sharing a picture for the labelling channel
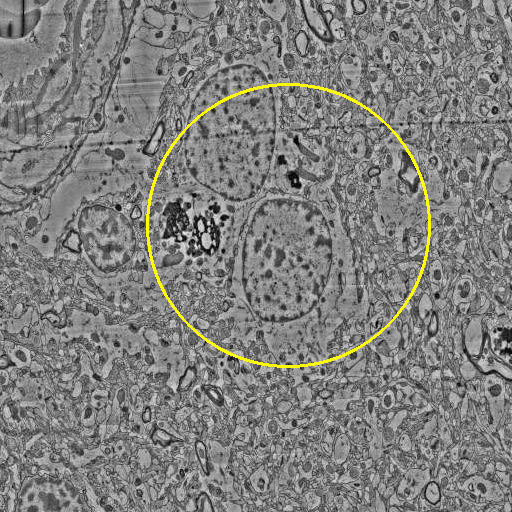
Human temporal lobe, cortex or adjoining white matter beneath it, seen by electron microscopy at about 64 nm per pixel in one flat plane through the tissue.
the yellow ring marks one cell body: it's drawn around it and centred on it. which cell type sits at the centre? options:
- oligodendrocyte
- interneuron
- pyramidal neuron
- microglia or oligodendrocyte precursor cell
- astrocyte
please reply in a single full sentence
In the picture, the cell at the ring's centre is an astrocyte, going by the list.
